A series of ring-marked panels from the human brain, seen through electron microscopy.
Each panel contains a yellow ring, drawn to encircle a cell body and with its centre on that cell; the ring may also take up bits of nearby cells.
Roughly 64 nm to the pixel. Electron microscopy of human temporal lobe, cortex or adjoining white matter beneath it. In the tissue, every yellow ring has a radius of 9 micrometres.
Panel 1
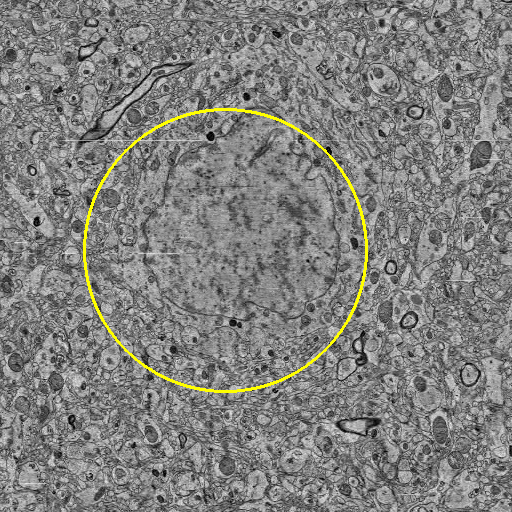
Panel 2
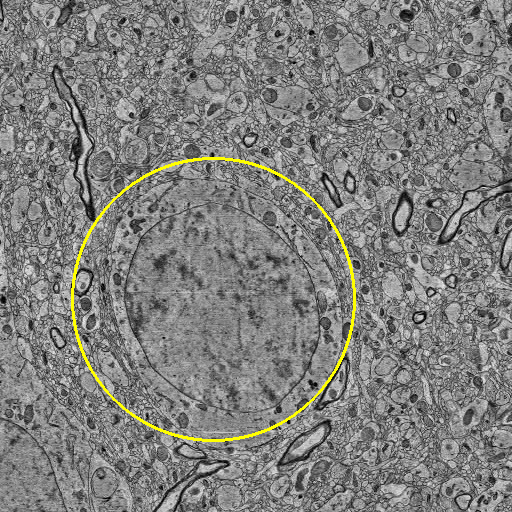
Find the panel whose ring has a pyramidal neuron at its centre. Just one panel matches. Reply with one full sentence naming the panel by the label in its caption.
The sought cell lies at the centre of the ring shown in Panel 2.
